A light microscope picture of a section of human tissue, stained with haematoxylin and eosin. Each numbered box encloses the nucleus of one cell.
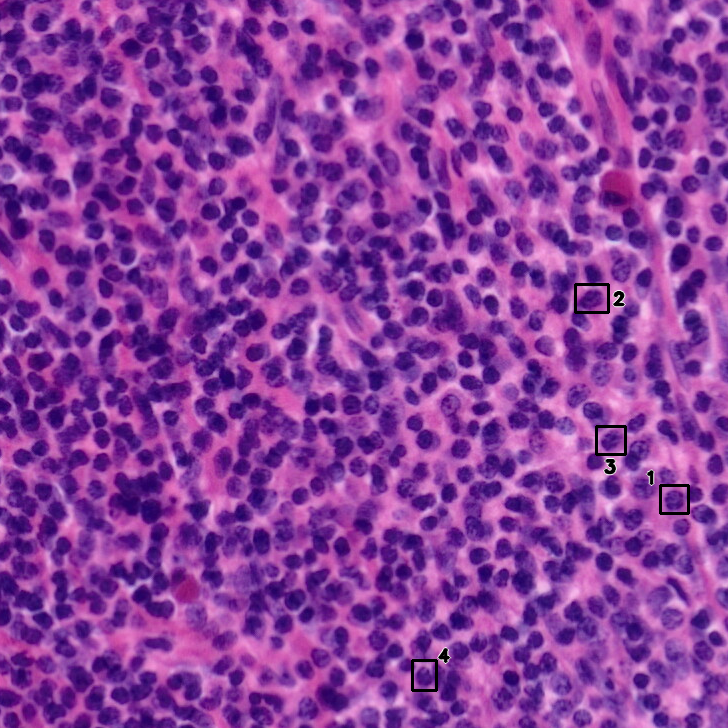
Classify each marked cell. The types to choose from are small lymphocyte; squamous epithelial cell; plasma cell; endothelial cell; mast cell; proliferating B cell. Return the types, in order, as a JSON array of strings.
["plasma cell", "plasma cell", "plasma cell", "small lymphocyte"]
